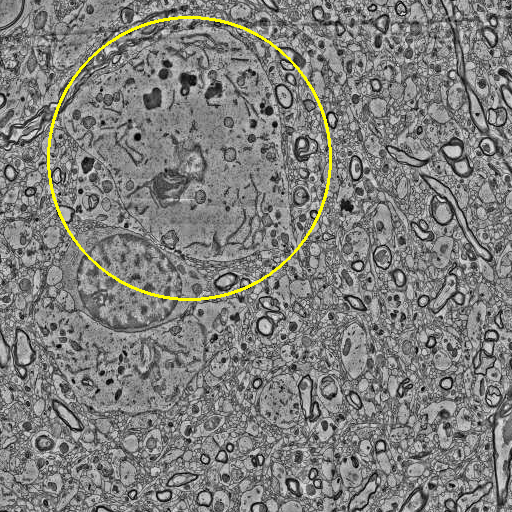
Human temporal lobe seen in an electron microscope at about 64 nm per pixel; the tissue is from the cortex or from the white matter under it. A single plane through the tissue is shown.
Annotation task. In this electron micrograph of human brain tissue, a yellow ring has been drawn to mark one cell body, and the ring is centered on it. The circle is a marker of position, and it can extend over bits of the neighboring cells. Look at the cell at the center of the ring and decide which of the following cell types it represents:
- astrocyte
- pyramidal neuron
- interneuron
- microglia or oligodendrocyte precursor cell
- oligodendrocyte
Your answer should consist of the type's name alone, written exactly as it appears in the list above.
pyramidal neuron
